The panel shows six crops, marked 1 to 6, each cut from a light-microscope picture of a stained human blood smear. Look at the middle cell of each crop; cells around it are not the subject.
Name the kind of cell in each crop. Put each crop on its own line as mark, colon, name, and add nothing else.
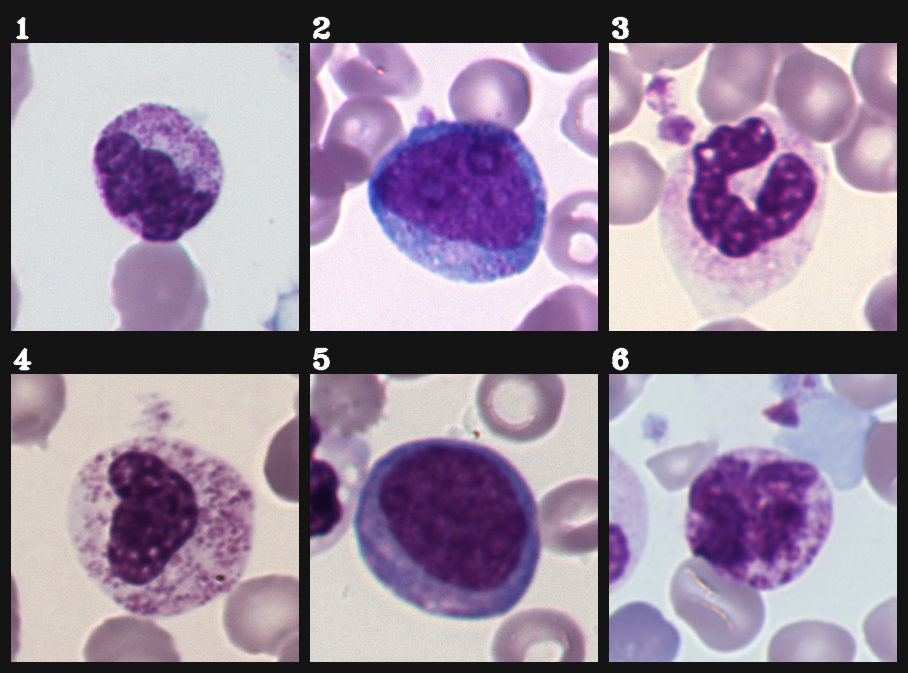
1: segmented neutrophil
2: promyelocyte
3: segmented neutrophil
4: segmented neutrophil
5: promyelocyte
6: basophil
